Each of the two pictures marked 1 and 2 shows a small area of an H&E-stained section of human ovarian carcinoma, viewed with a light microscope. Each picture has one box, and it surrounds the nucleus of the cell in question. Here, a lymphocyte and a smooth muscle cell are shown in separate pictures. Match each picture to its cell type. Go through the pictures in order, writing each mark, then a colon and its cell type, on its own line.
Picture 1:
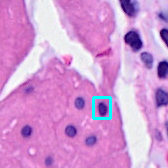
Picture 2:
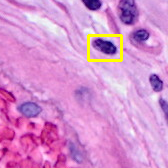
1: smooth muscle cell
2: lymphocyte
